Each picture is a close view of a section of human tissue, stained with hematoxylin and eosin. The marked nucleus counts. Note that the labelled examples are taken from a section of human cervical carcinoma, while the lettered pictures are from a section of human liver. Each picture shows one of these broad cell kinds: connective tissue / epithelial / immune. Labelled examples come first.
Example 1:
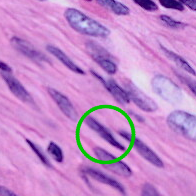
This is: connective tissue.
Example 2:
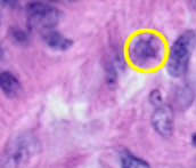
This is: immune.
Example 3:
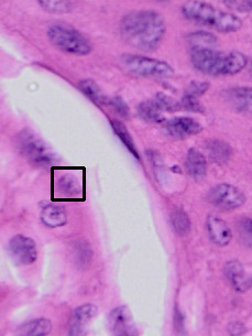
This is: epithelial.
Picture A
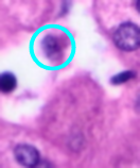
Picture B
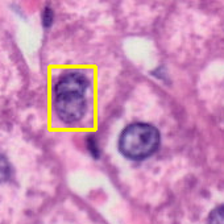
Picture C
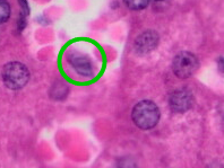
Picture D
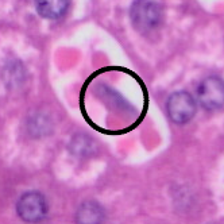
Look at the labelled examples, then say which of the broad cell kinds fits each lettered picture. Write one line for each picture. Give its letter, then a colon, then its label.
A: immune.
B: epithelial.
C: immune.
D: immune.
